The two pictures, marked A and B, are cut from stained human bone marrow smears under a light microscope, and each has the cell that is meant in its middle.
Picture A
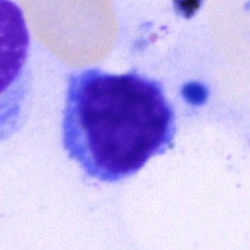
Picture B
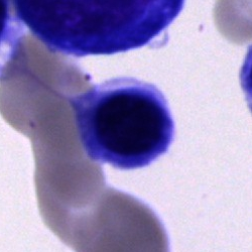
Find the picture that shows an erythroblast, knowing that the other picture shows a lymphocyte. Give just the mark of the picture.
B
